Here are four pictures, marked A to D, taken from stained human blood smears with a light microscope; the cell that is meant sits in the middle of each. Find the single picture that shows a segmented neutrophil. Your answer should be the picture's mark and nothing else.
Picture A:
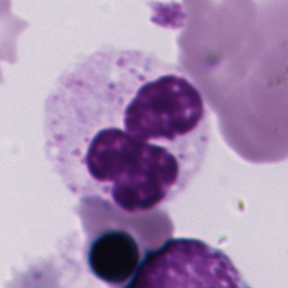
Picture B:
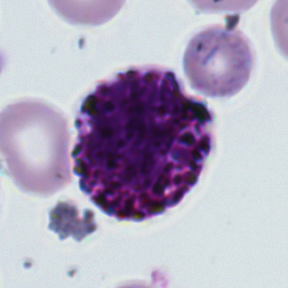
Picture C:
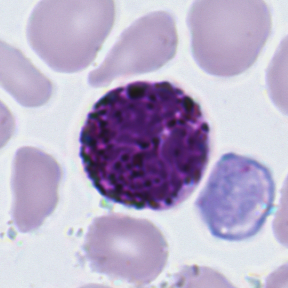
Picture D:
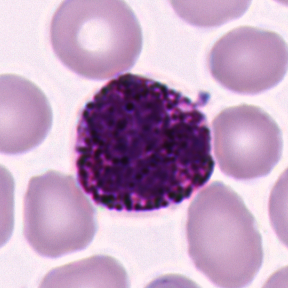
A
